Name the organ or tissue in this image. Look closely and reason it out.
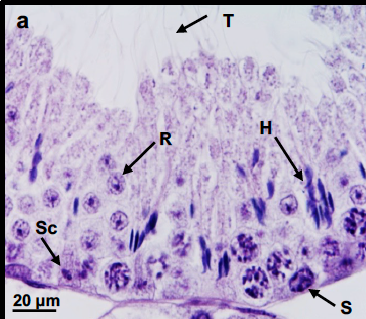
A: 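Seminiferous tubule epithelium. Several layers of germ cells stack from a basement membrane toward an open lumen. Dark slender heads lie grouped among pale round nuclei. Pale fibres extend into the lumen.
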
